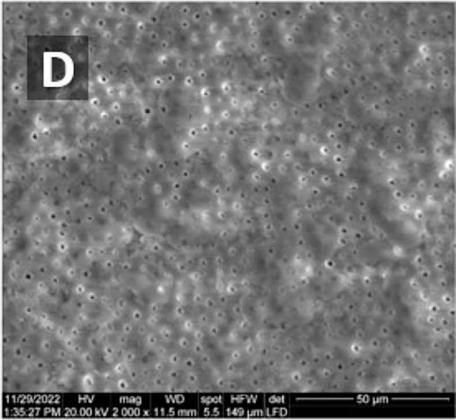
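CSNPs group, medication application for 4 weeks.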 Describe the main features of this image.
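This scanning electron micrograph shows a root canal dentine surface with numerous open dentinal tubules. The tubule openings appear as small round dark holes, fairly uniform in size, scattered densely over the whole field. Many openings are ringed by a slightly brighter rim. Between the tubules the surface is gently undulating, with lighter and darker patches but no thick amorphous covering layer.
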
